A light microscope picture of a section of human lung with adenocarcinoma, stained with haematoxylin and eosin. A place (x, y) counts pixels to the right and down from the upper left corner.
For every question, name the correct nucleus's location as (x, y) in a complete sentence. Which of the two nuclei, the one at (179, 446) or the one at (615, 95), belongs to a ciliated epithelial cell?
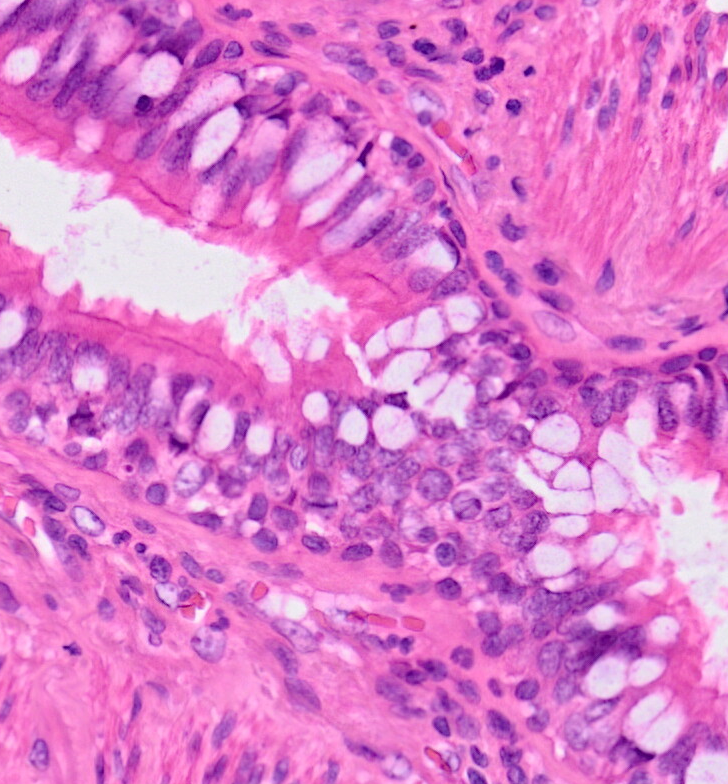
Of the two nuclei, the nucleus of a ciliated epithelial cell is at (179, 446).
